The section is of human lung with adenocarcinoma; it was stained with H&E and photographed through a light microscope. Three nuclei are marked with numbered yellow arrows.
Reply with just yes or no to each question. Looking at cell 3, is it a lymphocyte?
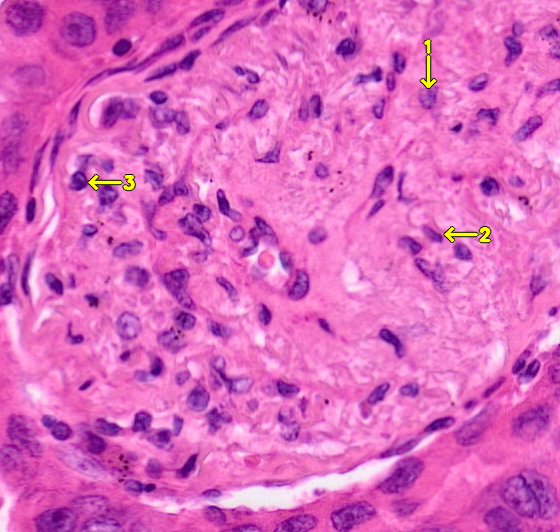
yes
